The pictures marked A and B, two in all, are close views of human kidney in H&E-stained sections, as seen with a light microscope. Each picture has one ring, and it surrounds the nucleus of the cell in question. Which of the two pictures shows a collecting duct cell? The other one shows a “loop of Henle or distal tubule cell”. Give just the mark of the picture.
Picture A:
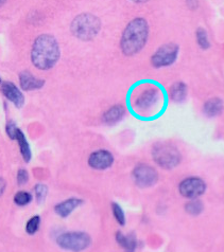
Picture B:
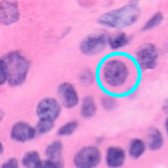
B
